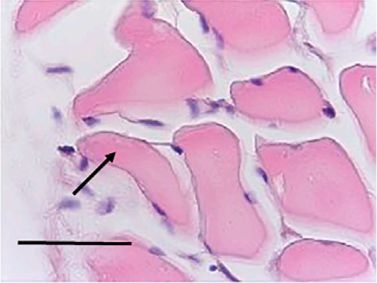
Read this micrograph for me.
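This is a transverse section of skeletal muscle showing muscle fibres stained pale pink. Several fibres have angular outlines with rounded corners rather than the regular polygonal shape of normal fibres. The fibres vary in size and shape and are separated by wide pale spaces. Small, dark purple, dense nuclei lie at the edges of the fibres and in the spaces between them.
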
